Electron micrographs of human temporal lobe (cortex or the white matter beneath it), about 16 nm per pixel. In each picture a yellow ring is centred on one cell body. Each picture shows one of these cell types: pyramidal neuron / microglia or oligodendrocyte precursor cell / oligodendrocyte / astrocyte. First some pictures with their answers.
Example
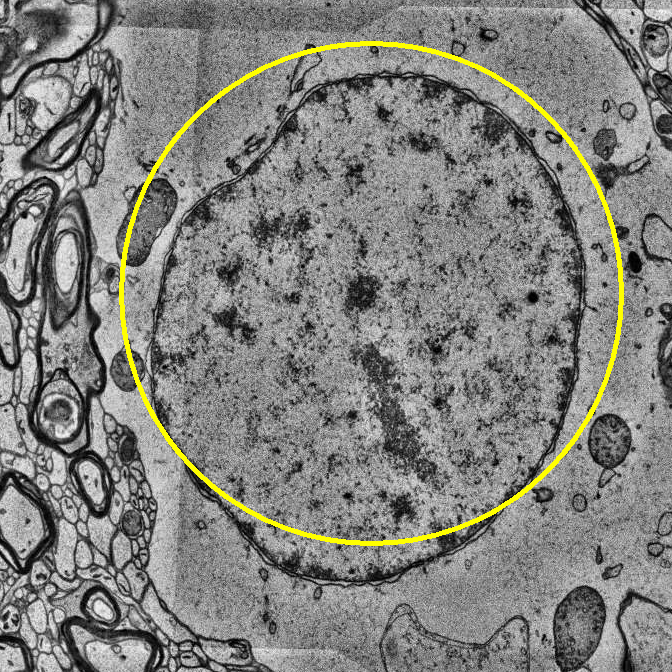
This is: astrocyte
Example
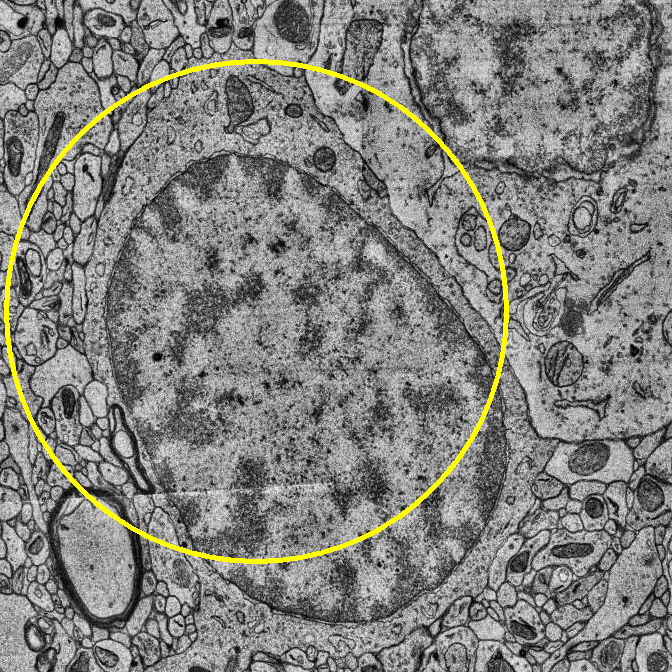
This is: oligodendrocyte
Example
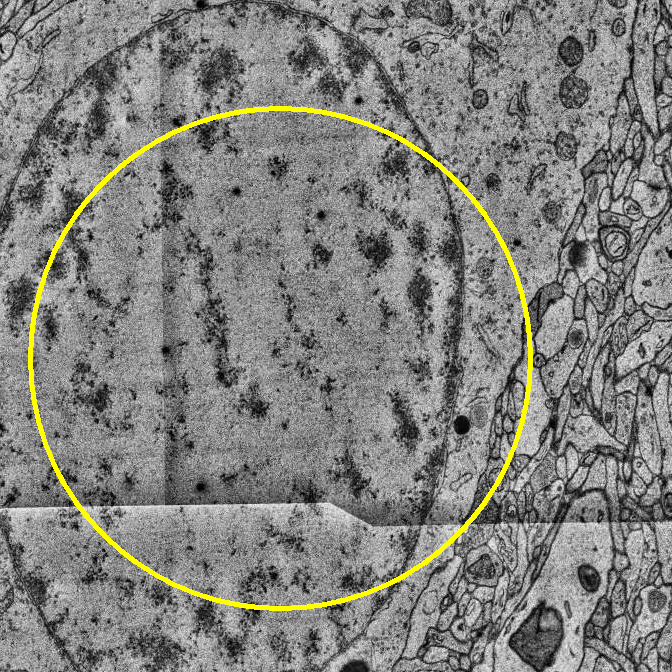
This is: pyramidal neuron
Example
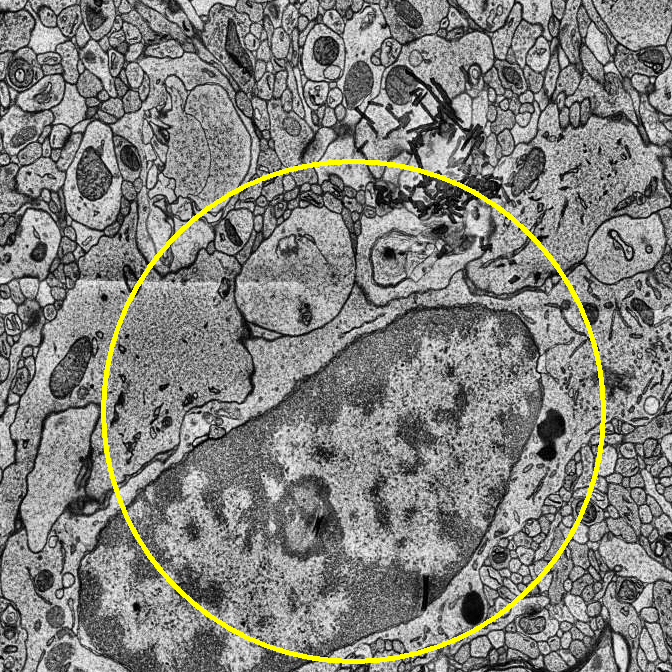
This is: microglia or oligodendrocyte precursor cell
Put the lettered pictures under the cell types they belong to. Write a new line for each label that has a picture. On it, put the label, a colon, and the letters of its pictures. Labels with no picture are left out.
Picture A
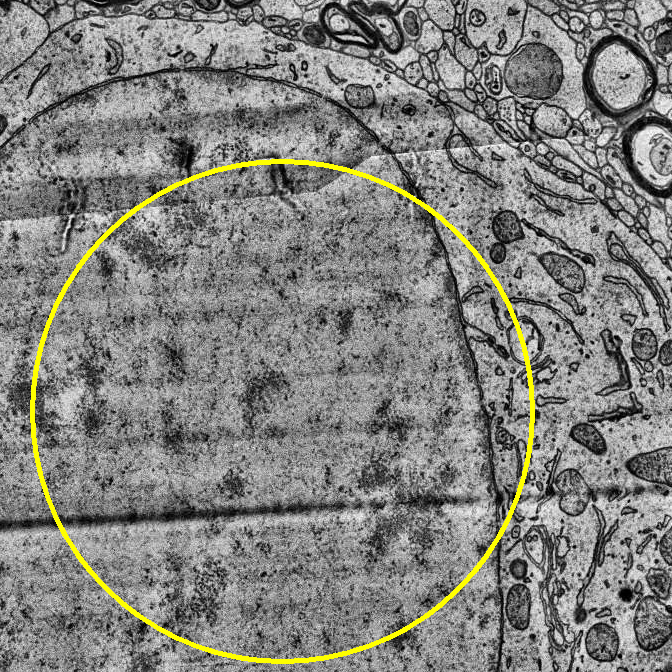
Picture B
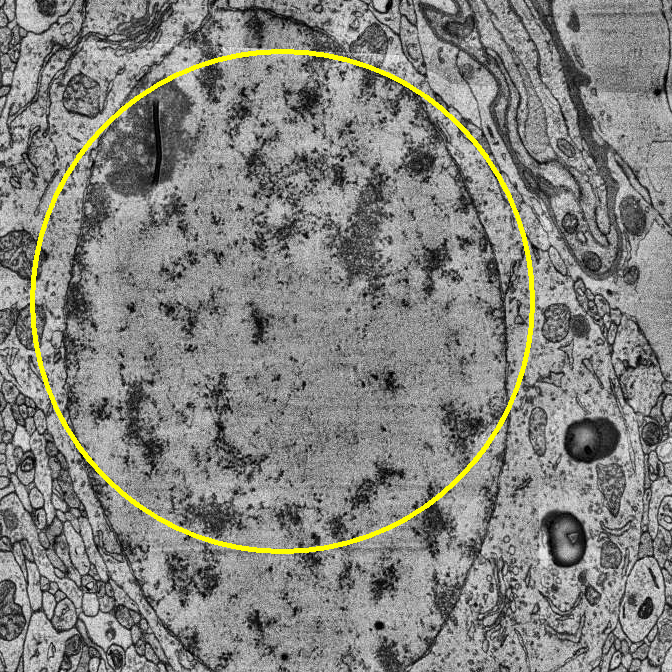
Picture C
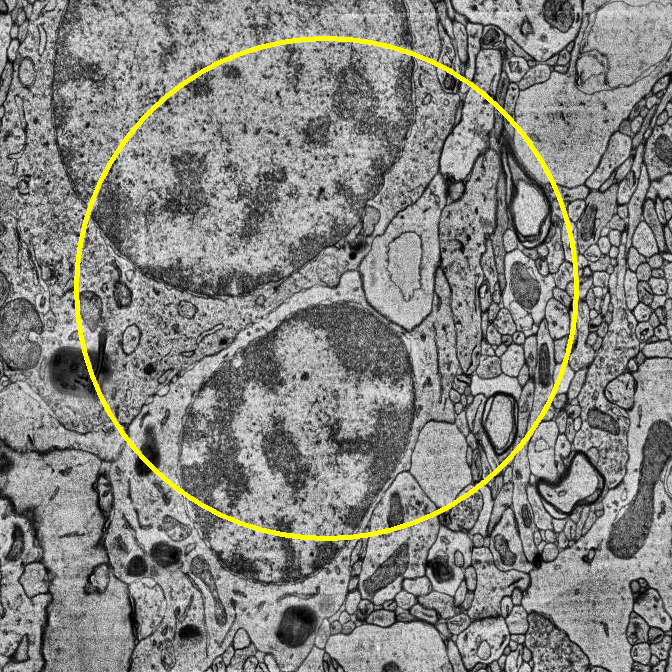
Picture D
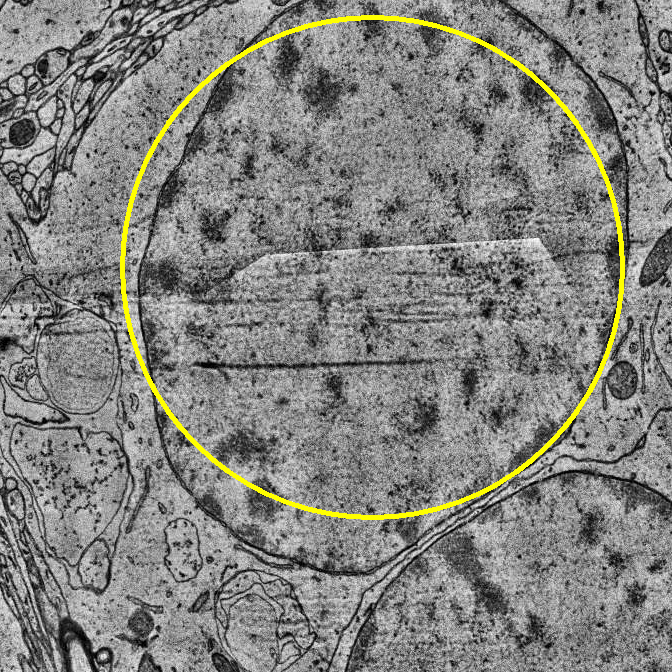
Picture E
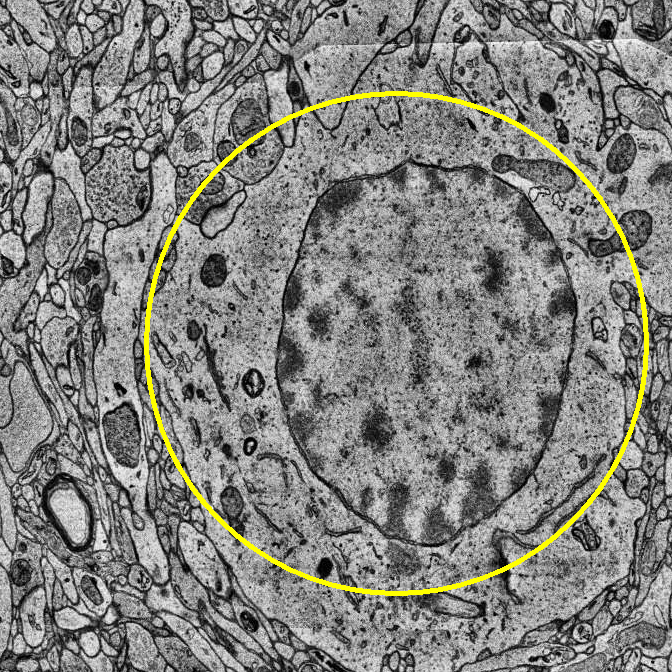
pyramidal neuron: A, B
microglia or oligodendrocyte precursor cell: C
astrocyte: D, E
